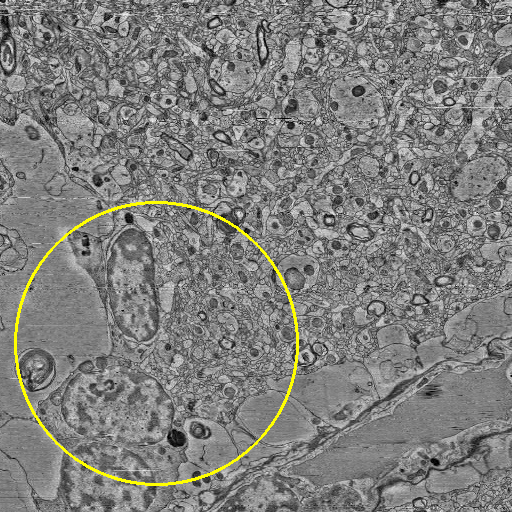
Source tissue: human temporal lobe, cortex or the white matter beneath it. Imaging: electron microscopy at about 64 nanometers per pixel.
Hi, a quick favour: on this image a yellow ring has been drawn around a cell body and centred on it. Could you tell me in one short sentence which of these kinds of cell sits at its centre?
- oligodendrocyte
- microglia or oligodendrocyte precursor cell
The ring is centred on a microglial cell or oligodendrocyte precursor cell.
